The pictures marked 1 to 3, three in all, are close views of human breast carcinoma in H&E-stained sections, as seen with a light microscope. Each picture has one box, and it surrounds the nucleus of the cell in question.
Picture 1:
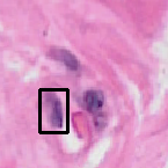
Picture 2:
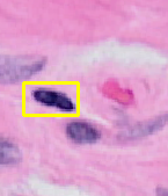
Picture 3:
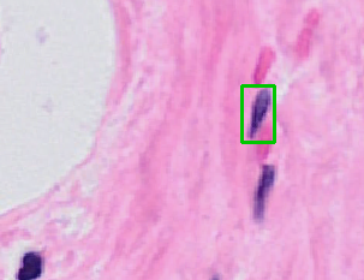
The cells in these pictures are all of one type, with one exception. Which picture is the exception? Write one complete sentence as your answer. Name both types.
Unlike the rest, which show endothelial cells, picture 2 shows a lymphocyte.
